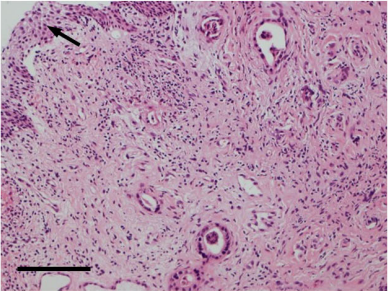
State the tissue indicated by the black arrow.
Squamous epithelium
